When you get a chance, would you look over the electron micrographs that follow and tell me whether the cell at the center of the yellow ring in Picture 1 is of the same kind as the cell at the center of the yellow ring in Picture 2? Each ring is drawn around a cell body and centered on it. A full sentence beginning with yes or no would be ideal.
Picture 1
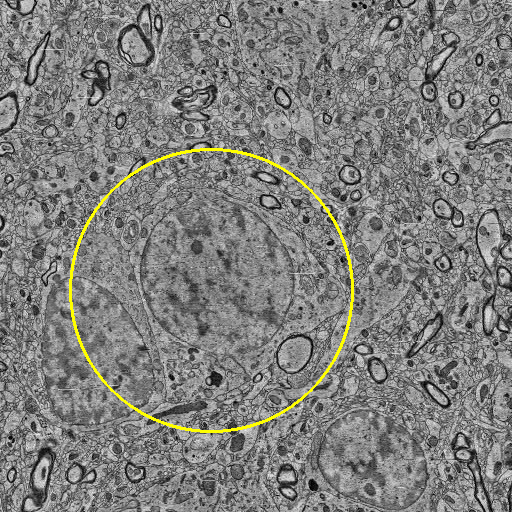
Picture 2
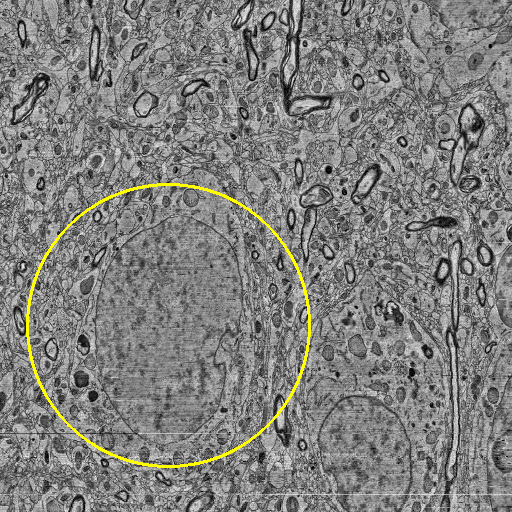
No, they are two kinds of cell.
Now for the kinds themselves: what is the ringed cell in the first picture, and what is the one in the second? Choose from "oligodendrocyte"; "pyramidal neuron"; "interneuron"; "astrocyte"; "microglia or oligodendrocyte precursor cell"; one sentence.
Here the first cell is an interneuron and the second cell is a pyramidal neuron.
